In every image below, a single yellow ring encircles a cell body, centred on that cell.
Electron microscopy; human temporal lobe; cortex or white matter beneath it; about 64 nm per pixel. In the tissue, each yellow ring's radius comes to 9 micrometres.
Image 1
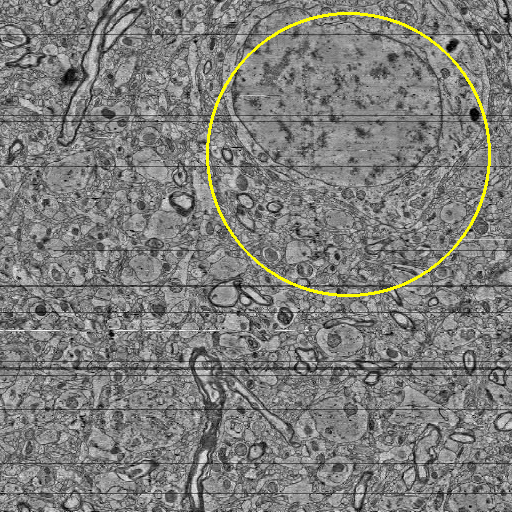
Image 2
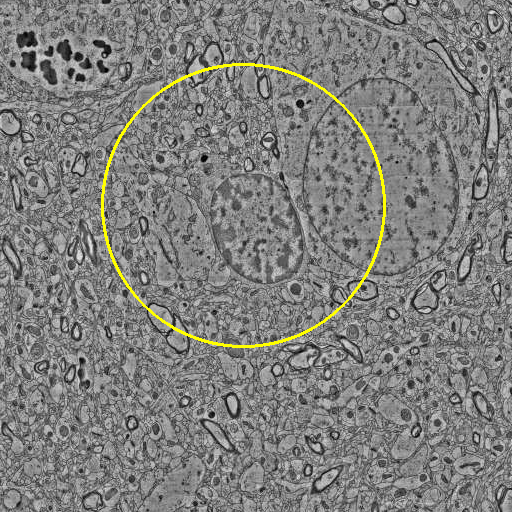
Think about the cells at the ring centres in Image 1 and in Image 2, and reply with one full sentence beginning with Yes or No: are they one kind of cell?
No, the cells centred in the rings of Image 1 and Image 2 are two kinds of cell.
